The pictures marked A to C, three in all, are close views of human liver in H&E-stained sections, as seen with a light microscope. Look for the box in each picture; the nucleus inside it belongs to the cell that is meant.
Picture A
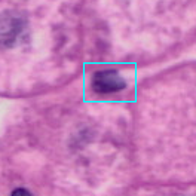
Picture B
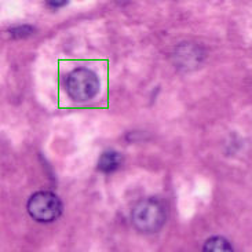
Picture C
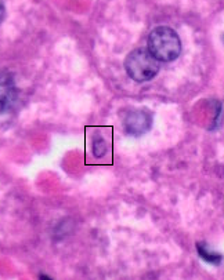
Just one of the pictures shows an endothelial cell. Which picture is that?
A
